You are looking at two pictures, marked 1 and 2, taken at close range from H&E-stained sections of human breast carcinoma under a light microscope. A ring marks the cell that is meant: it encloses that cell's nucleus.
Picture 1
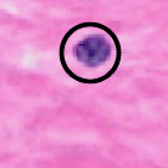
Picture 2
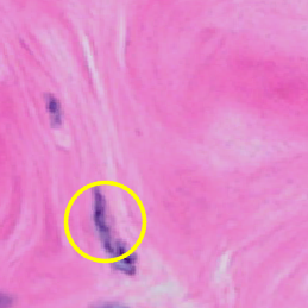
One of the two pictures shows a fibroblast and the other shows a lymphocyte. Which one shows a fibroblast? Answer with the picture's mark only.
2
